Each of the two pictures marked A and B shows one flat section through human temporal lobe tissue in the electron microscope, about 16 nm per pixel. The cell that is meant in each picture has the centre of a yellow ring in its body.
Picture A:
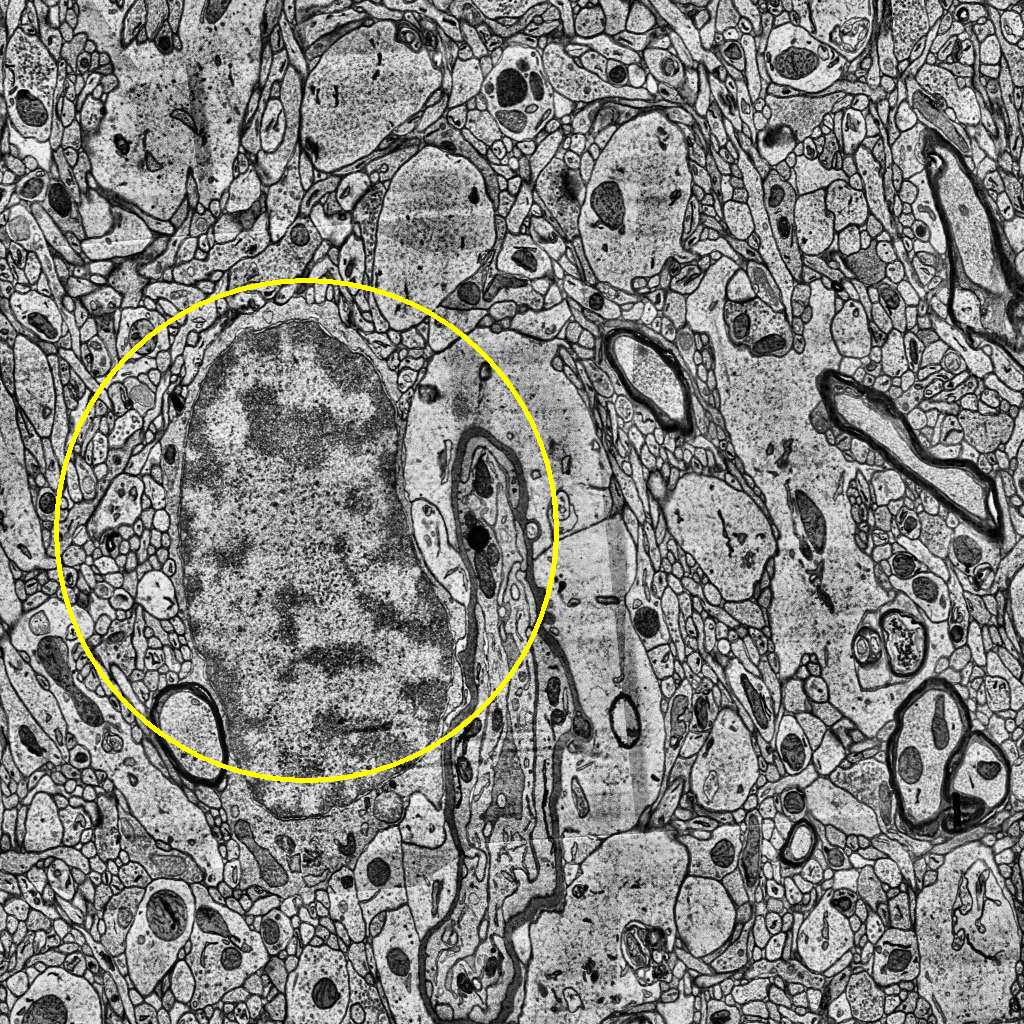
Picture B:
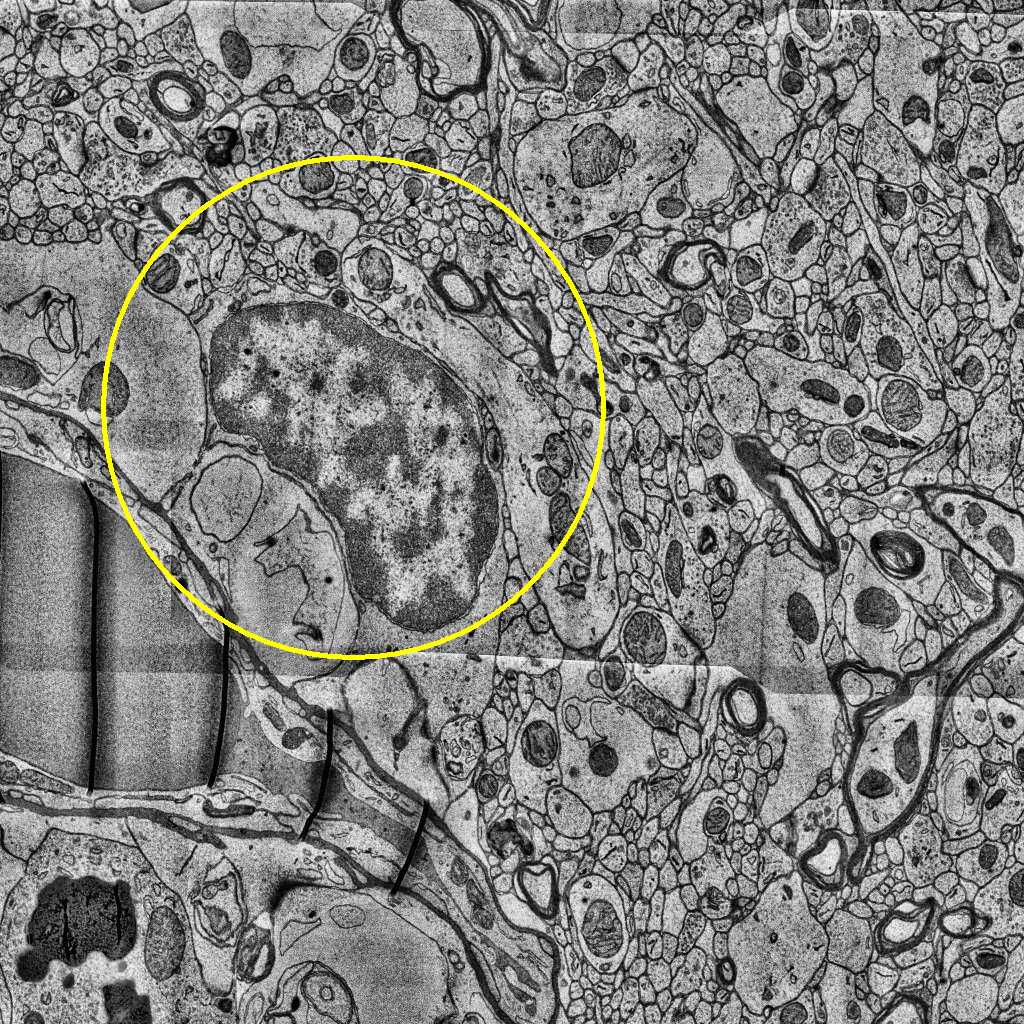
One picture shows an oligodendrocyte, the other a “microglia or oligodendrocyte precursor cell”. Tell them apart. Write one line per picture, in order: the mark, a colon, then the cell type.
A: oligodendrocyte
B: microglia or oligodendrocyte precursor cell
